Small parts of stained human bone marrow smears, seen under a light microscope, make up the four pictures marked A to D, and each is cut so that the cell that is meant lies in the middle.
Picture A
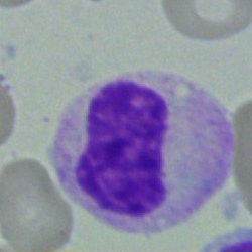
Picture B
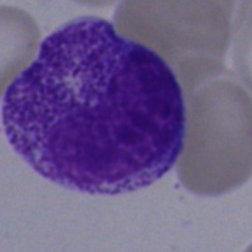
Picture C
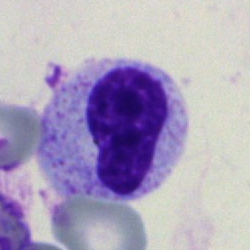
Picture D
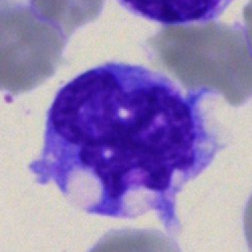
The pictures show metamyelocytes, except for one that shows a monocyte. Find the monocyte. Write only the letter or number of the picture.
D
